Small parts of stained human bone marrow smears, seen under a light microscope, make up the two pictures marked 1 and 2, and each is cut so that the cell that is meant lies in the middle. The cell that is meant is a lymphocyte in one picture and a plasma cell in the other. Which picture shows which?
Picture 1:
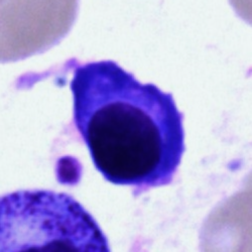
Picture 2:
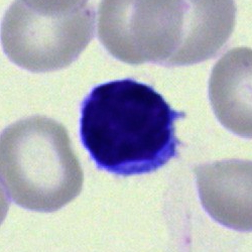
1: plasma cell
2: lymphocyte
